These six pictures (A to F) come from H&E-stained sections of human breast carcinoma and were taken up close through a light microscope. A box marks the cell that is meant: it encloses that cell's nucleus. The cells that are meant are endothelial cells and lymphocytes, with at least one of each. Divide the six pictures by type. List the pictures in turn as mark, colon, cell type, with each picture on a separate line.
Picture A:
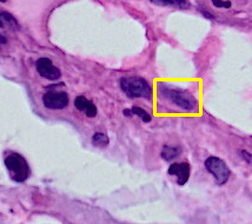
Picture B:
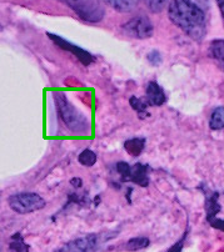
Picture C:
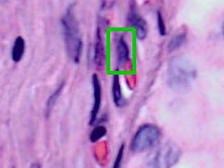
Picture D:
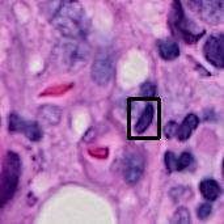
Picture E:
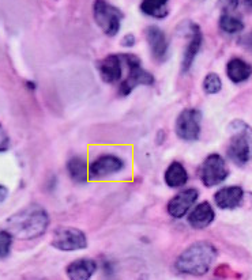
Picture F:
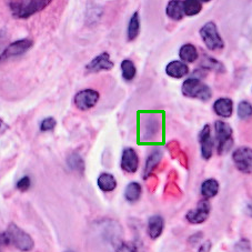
A: endothelial cell
B: endothelial cell
C: endothelial cell
D: lymphocyte
E: lymphocyte
F: endothelial cell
